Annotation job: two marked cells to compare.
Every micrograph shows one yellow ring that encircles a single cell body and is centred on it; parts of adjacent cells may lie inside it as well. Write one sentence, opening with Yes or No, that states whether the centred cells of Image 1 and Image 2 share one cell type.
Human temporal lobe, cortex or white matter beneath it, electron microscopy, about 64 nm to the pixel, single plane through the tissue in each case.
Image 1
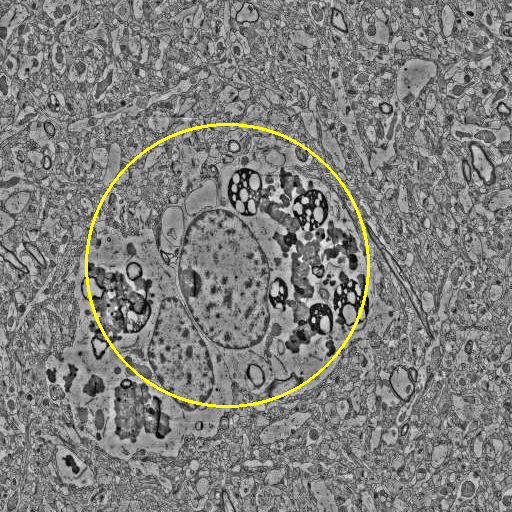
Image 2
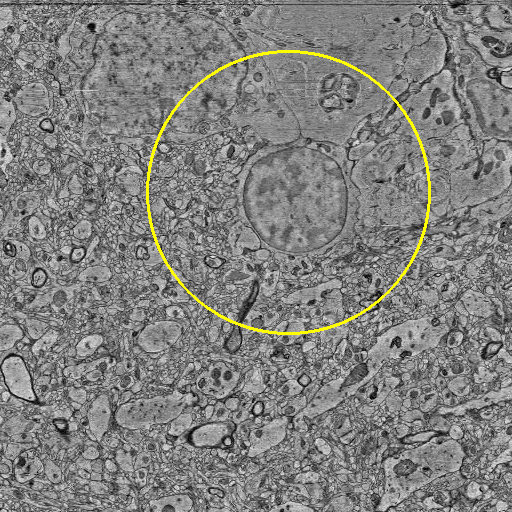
No, the cell centred in Image 1 and the cell centred in Image 2 are of two types.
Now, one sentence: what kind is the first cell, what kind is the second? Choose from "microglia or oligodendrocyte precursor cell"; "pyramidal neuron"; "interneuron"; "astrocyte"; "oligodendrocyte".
The first picture has an astrocyte at its ring centre, and the second has an oligodendrocyte.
